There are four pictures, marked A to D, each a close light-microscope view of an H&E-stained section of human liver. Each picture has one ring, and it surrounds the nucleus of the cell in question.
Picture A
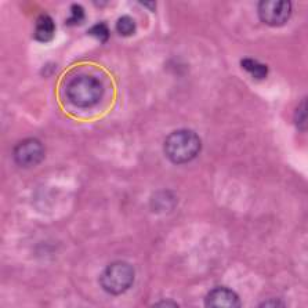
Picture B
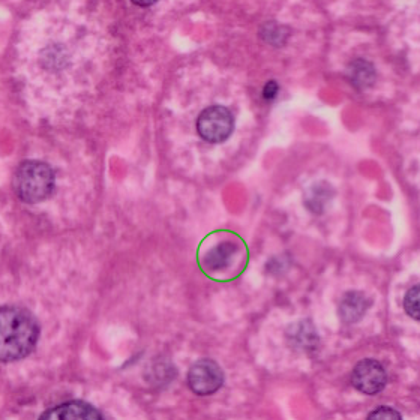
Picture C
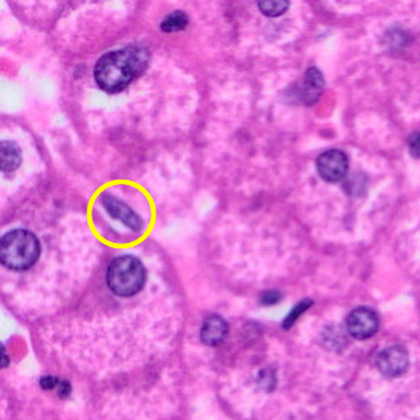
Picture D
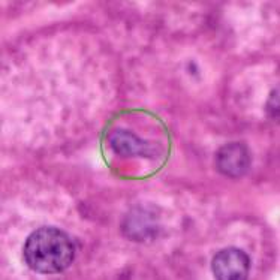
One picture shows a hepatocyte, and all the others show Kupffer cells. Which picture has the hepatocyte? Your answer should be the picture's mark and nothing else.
A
